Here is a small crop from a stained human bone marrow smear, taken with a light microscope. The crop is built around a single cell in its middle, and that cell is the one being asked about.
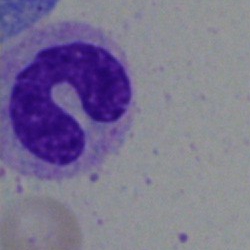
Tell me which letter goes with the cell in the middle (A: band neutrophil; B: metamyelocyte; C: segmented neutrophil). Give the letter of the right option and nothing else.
A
